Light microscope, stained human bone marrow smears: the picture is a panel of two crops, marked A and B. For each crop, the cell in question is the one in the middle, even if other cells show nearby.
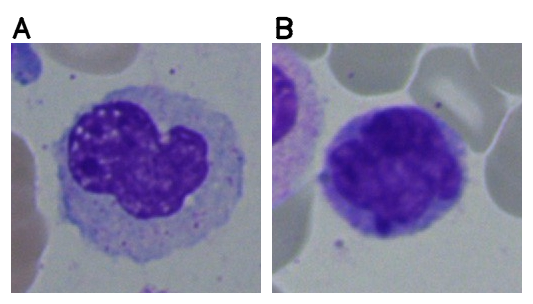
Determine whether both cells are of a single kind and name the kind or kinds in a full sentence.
Yes, monocytes are centred in both crops.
